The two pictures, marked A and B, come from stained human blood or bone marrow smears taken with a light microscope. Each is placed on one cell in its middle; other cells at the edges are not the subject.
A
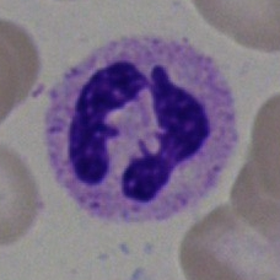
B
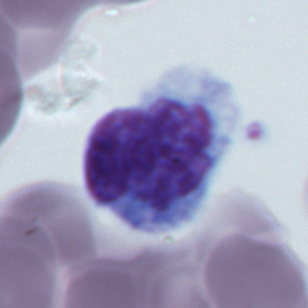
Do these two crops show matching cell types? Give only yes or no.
no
